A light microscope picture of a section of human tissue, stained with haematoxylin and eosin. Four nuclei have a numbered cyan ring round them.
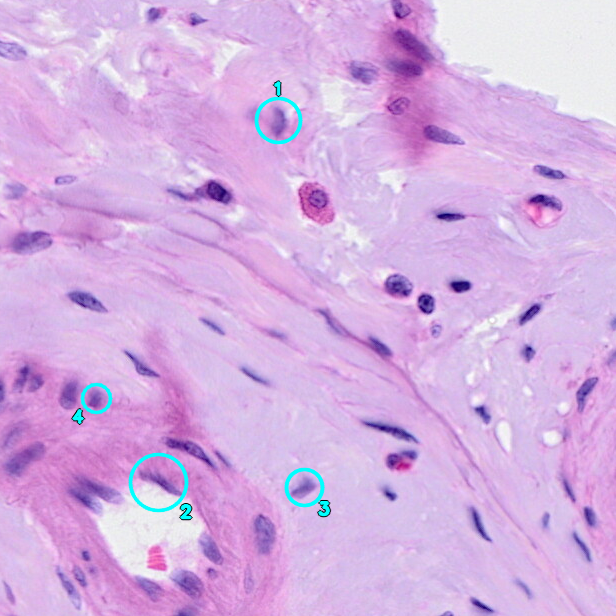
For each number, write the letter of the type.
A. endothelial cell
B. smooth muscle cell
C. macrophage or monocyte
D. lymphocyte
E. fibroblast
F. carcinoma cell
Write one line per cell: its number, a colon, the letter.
1: E
2: A
3: E
4: B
